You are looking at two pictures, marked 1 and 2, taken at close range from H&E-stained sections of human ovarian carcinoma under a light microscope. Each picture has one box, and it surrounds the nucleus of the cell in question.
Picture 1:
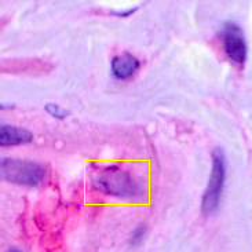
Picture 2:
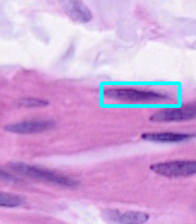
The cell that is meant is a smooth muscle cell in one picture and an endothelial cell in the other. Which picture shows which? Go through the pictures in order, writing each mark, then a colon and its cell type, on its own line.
1: endothelial cell
2: smooth muscle cell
